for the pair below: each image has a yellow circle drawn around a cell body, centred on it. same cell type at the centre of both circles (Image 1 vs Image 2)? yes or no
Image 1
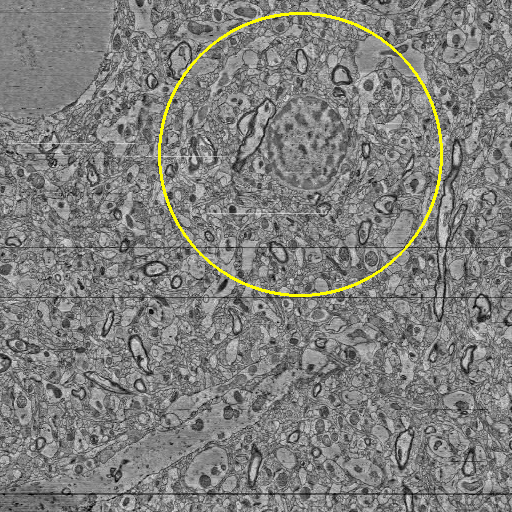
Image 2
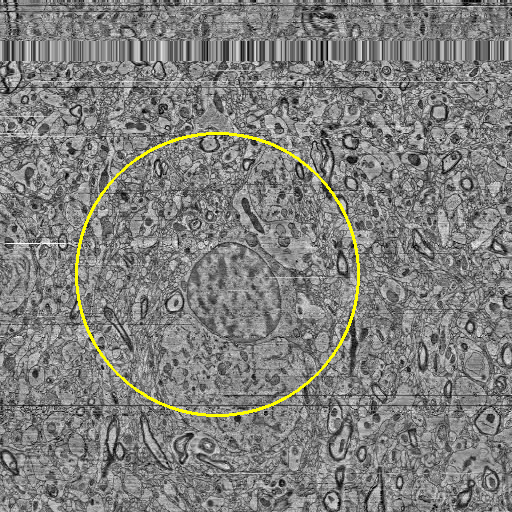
yes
